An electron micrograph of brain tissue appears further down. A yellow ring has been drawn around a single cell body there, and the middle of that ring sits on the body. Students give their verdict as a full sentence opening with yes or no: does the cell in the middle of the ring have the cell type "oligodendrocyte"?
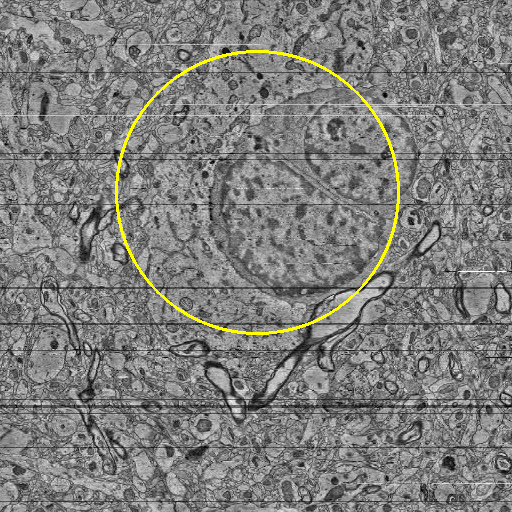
Yes, in this picture the cell sitting at the middle of the ring has that cell type.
